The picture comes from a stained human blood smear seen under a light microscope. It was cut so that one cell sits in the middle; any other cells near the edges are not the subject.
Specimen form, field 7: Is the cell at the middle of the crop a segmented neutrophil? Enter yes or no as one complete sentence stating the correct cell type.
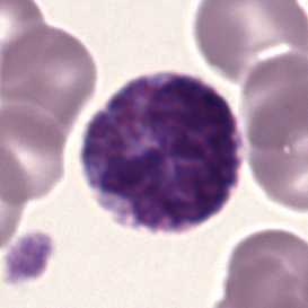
No, it is not a segmented neutrophil that sits at the centre but a basophil.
